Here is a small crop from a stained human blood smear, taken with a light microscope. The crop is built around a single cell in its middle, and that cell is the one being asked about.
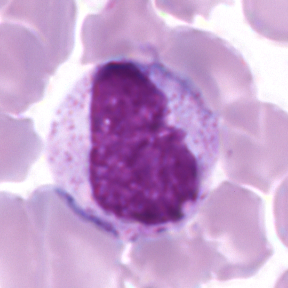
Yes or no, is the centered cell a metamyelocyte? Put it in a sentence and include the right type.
Yes, the cell that the crop is centered on is a metamyelocyte.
